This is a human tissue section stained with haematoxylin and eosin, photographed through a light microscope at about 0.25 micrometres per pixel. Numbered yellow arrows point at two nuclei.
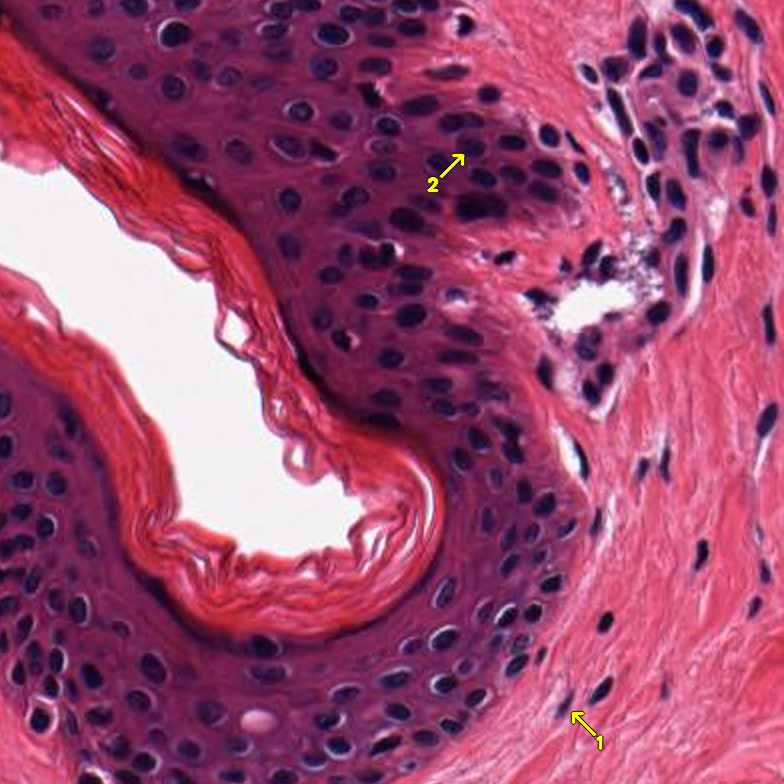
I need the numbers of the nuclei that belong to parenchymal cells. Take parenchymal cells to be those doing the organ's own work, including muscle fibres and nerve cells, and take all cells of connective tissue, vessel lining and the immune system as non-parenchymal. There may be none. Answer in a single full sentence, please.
A parenchymal cell holds nucleus 2; none of the other numbered nuclei belong to one.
